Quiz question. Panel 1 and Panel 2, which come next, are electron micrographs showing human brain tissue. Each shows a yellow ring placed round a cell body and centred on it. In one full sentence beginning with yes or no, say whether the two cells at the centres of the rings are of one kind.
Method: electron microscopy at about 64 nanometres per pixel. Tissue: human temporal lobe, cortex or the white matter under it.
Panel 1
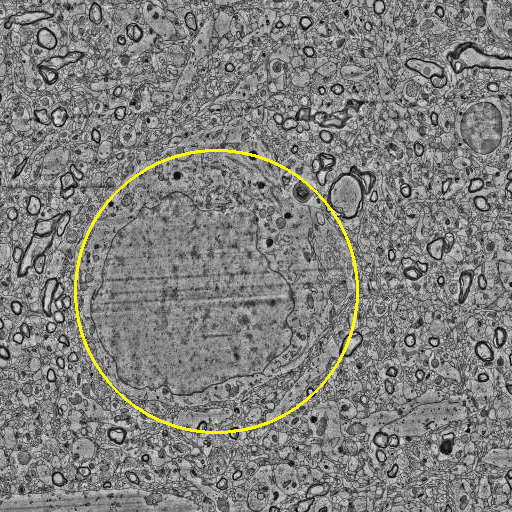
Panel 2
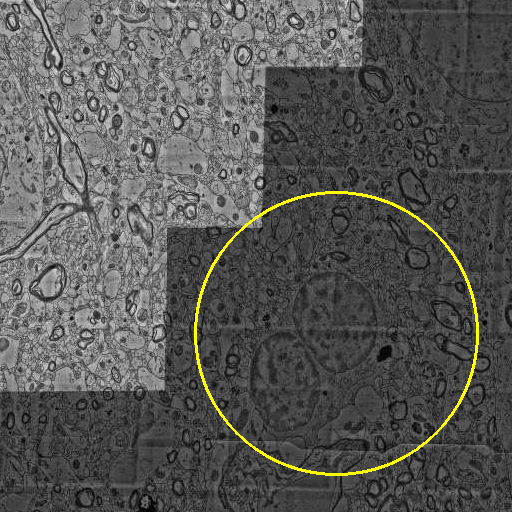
No, Panel 1 and Panel 2 show two kinds of cell at the centre of the ring.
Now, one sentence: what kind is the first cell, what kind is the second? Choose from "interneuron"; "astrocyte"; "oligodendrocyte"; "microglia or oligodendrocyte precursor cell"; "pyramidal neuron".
The first picture has a pyramidal neuron at its ring centre, and the second has an oligodendrocyte.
